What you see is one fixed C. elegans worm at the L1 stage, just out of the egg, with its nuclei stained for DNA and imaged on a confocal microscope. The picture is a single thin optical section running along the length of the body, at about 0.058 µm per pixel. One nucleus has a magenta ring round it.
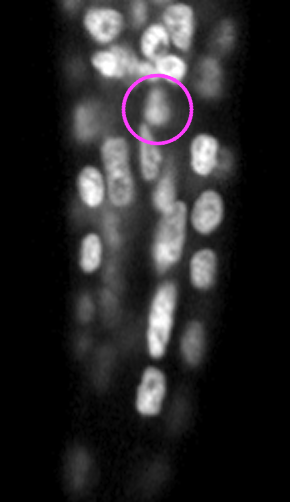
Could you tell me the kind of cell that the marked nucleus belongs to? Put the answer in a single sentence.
The marked cell is a neuron.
